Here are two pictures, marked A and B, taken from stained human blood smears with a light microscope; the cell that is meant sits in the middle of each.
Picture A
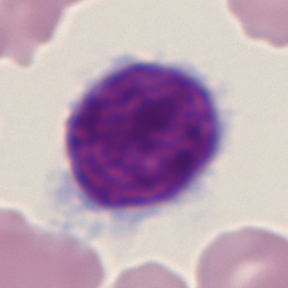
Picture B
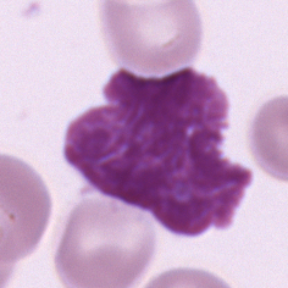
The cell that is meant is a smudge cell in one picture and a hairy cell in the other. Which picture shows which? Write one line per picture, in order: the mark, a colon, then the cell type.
A: hairy cell
B: smudge cell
